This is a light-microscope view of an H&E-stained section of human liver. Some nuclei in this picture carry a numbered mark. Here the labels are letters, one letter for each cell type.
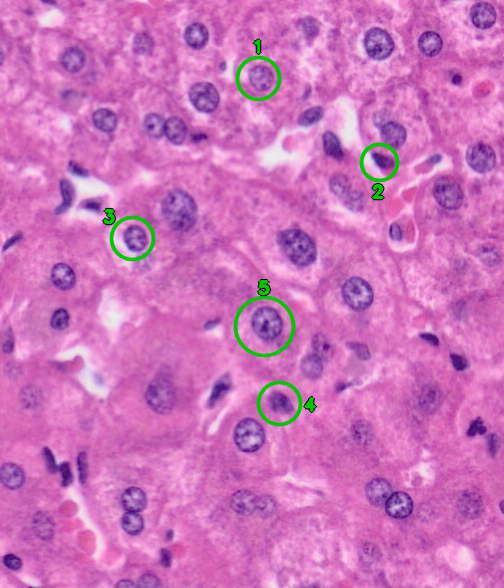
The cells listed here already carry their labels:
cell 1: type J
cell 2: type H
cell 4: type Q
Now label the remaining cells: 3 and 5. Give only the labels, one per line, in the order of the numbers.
type J
type J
